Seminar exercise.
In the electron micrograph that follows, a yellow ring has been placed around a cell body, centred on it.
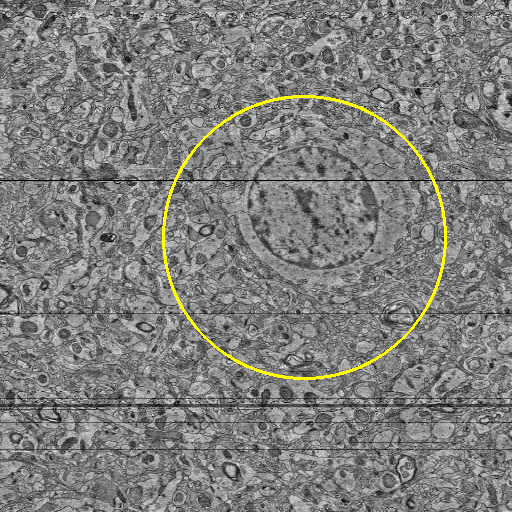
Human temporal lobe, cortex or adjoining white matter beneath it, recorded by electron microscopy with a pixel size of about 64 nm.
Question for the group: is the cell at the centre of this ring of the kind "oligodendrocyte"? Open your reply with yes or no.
No, the cell in the ring's centre is of another kind.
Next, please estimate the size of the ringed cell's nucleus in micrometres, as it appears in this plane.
In this plane, roughly 8 micrometres across.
